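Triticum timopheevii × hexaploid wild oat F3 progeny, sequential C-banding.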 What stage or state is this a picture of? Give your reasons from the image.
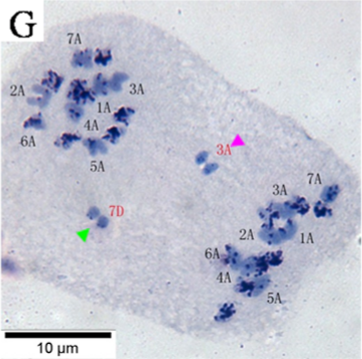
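Anaphase I. Chromosomes form two separate groups at opposite ends of the cell. A few chromosomes lie between the two groups.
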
